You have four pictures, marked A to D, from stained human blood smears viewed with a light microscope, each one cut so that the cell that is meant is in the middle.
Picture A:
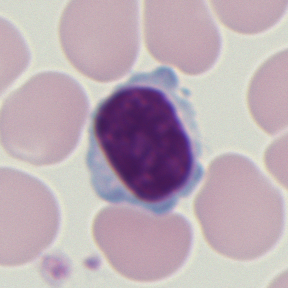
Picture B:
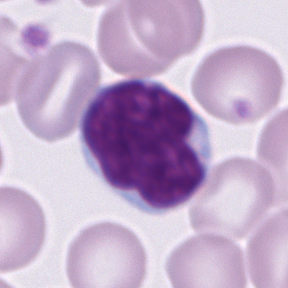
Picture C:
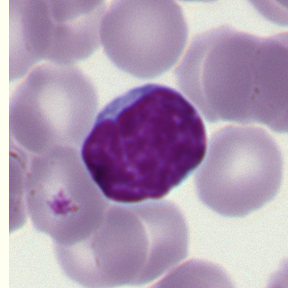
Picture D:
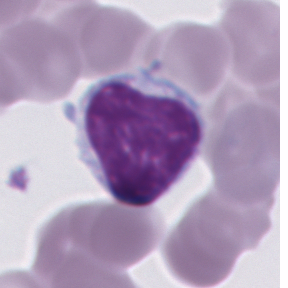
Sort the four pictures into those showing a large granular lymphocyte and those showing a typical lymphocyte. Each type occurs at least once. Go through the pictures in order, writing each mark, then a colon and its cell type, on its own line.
A: typical lymphocyte
B: typical lymphocyte
C: typical lymphocyte
D: large granular lymphocyte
